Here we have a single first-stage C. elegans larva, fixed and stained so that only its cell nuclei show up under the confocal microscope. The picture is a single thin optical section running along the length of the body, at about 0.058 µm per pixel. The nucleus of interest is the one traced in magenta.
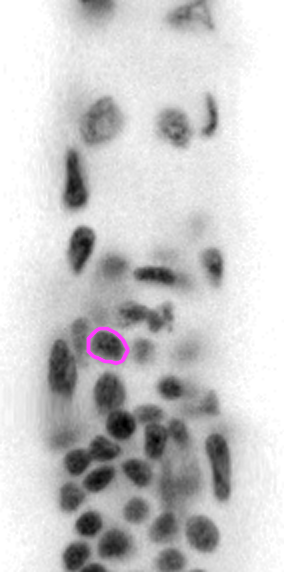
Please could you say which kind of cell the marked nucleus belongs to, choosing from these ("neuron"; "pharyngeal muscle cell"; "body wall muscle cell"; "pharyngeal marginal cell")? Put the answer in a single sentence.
This is the nucleus of a pharyngeal muscle cell.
